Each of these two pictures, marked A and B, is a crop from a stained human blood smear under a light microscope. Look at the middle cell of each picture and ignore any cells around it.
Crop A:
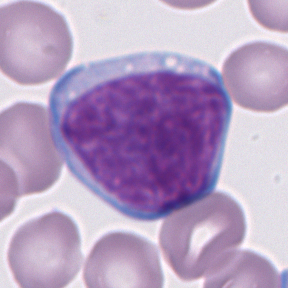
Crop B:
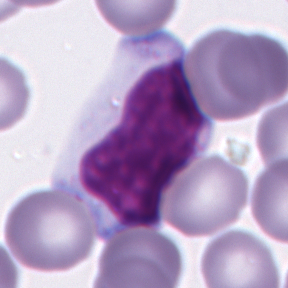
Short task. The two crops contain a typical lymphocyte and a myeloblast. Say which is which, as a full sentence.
Crop B shows a typical lymphocyte, and crop A shows a myeloblast.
